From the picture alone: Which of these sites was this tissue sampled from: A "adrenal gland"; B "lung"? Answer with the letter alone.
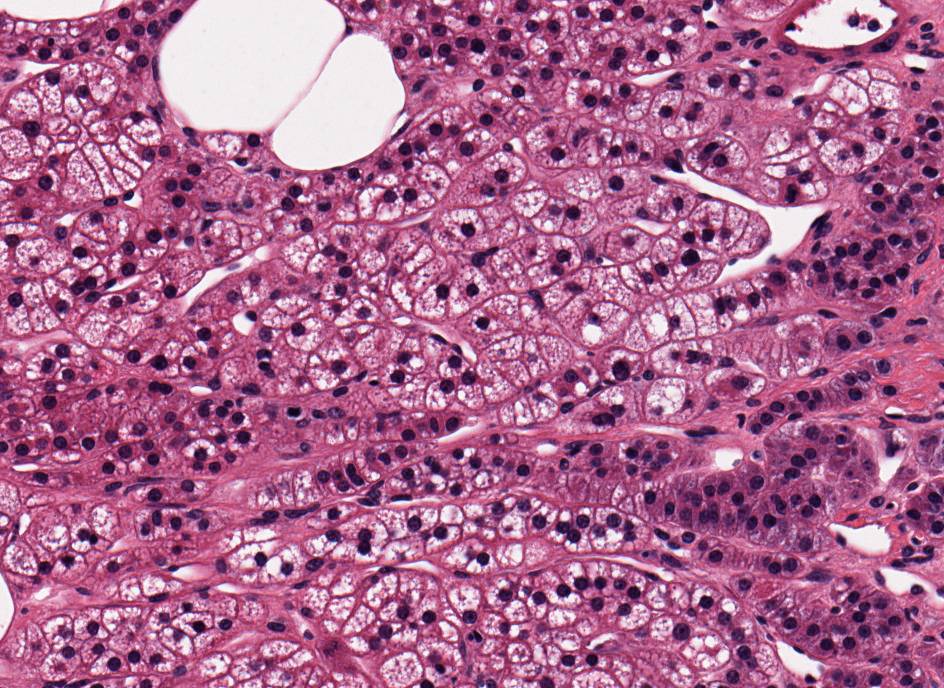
A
